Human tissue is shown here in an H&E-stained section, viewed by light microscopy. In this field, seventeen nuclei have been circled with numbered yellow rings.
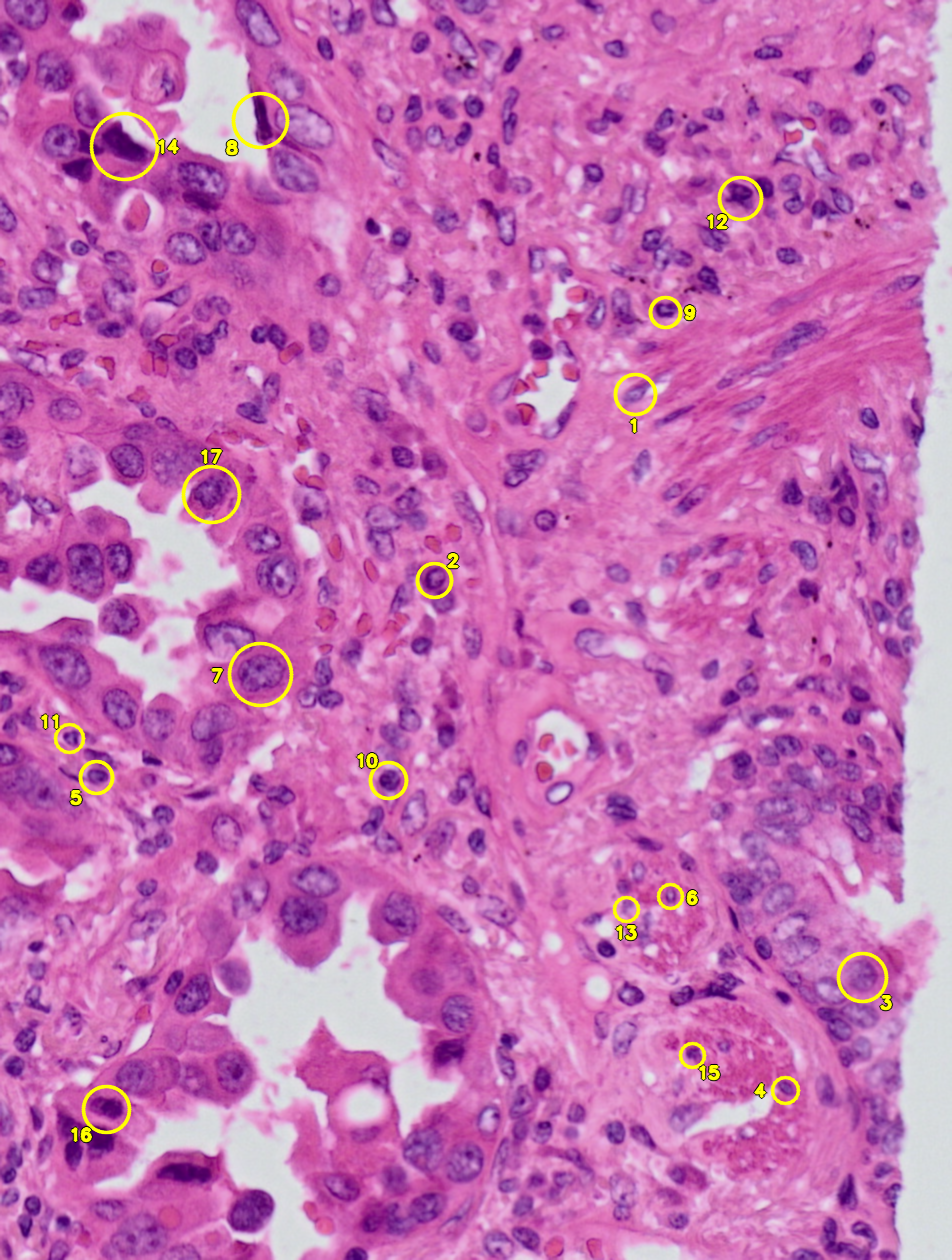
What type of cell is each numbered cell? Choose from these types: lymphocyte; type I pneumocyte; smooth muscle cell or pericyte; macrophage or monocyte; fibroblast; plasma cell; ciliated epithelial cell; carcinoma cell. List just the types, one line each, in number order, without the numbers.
smooth muscle cell or pericyte
plasma cell
ciliated epithelial cell
smooth muscle cell or pericyte
lymphocyte
smooth muscle cell or pericyte
carcinoma cell
carcinoma cell
plasma cell
lymphocyte
lymphocyte
plasma cell
smooth muscle cell or pericyte
carcinoma cell
smooth muscle cell or pericyte
carcinoma cell
carcinoma cell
